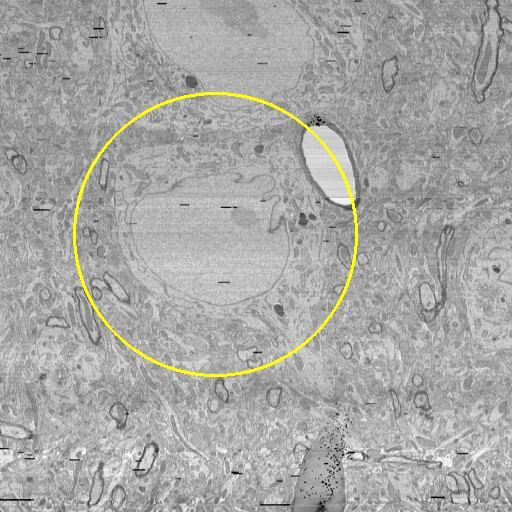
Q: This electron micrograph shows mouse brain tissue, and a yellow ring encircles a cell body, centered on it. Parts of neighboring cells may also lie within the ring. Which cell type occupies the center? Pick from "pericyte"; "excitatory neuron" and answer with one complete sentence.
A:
What sits at the ring's center in this micrograph is an excitatory neuron, among those choices.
